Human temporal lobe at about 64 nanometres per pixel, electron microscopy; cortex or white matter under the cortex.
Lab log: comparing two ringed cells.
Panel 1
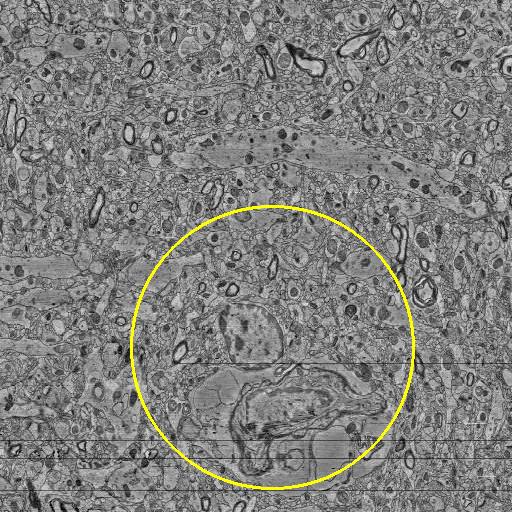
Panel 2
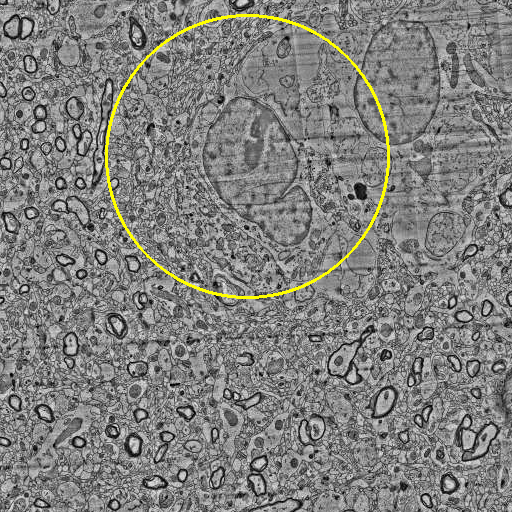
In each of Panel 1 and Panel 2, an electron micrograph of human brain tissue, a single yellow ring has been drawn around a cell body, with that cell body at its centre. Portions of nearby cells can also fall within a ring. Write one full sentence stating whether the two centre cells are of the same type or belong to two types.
The cells at the ring centres in Panel 1 and Panel 2 are of the same type.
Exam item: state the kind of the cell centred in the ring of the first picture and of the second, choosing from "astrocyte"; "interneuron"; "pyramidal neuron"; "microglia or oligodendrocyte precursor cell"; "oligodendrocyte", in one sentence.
Each cell at the centre of a ring is a microglial cell or oligodendrocyte precursor cell.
